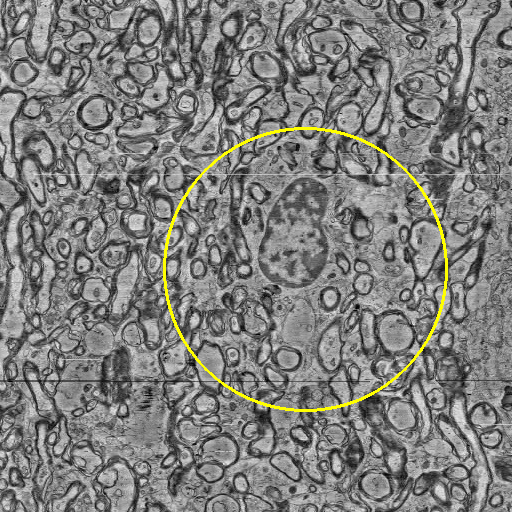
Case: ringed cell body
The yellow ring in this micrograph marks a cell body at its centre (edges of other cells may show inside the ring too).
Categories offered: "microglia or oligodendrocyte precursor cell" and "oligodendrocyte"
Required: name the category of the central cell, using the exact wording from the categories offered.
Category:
microglia or oligodendrocyte precursor cell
